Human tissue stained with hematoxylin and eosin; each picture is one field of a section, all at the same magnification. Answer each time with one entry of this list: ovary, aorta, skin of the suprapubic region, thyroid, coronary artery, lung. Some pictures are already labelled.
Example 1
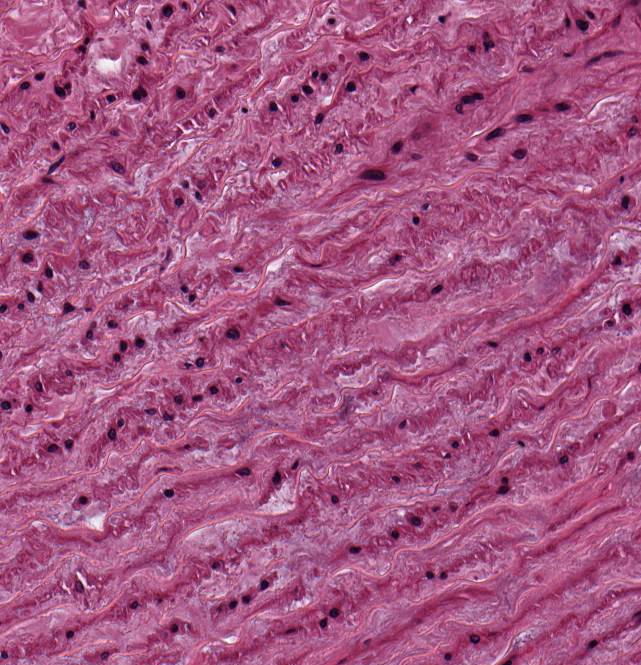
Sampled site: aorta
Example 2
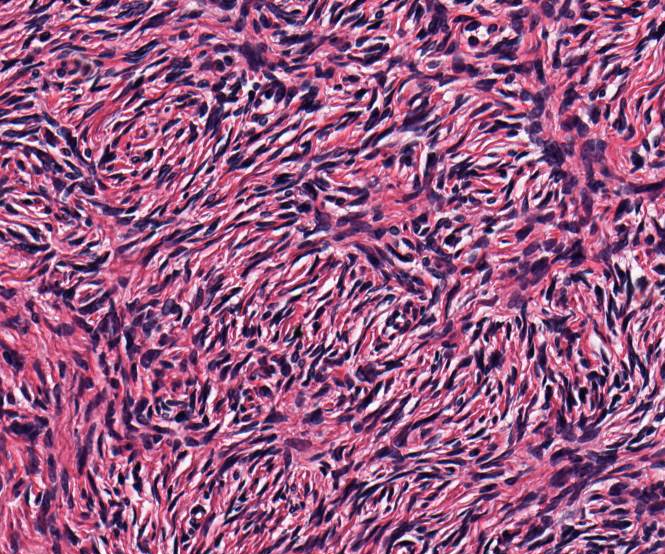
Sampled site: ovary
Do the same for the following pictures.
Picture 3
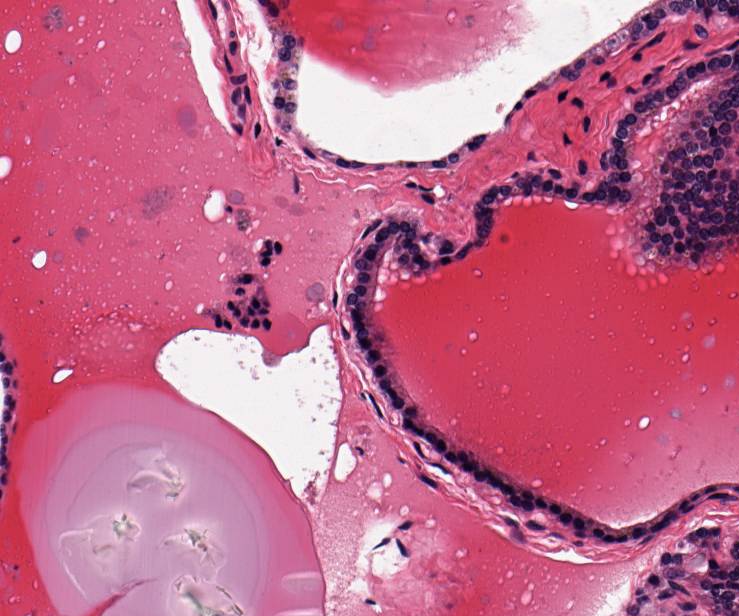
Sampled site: thyroid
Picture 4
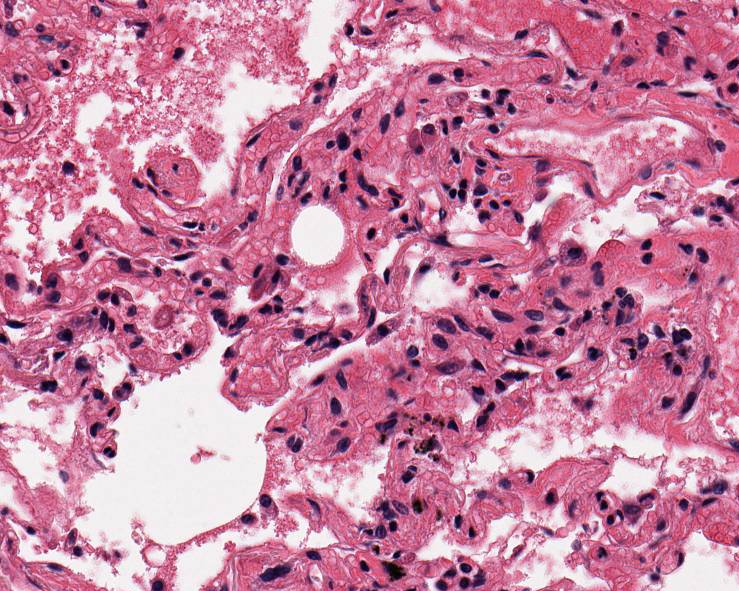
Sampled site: lung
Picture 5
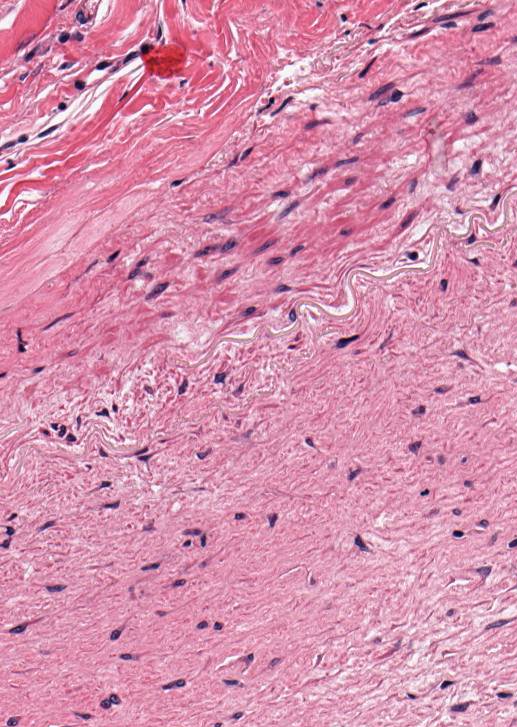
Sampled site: coronary artery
